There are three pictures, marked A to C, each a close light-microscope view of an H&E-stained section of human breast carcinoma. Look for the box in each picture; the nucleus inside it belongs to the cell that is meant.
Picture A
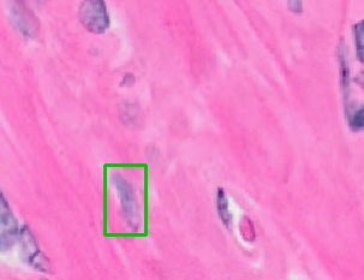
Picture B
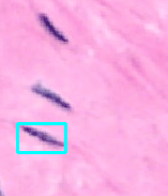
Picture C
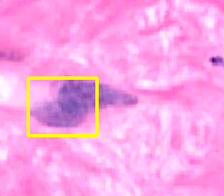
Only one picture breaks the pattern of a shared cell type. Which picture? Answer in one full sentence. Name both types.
All pictures except C show fibroblasts; picture C shows an endothelial cell.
